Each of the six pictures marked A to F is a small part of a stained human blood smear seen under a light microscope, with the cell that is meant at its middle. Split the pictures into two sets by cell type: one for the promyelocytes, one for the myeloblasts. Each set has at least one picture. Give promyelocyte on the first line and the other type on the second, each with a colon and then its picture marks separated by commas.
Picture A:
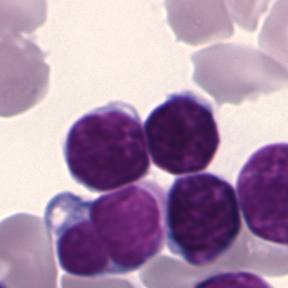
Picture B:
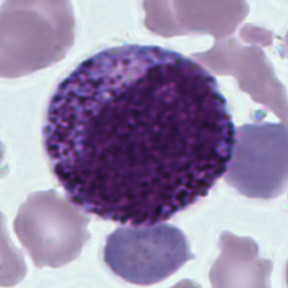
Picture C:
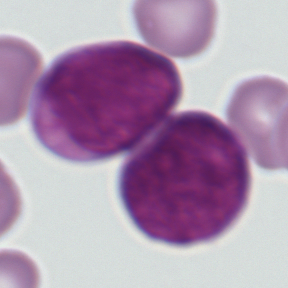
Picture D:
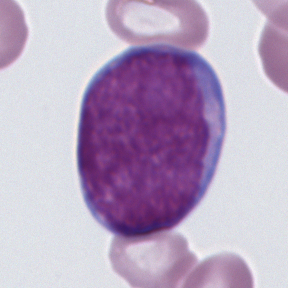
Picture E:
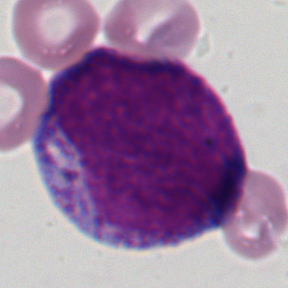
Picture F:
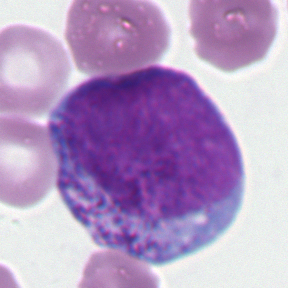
promyelocyte: B, E, F
myeloblast: A, C, D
